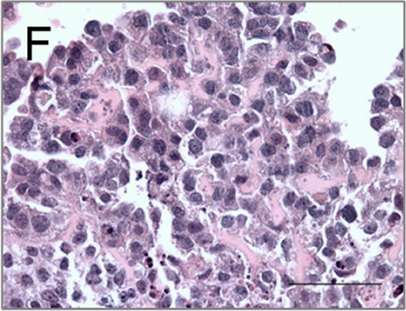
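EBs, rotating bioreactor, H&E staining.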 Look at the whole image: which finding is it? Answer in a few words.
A: cordlike arrangement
